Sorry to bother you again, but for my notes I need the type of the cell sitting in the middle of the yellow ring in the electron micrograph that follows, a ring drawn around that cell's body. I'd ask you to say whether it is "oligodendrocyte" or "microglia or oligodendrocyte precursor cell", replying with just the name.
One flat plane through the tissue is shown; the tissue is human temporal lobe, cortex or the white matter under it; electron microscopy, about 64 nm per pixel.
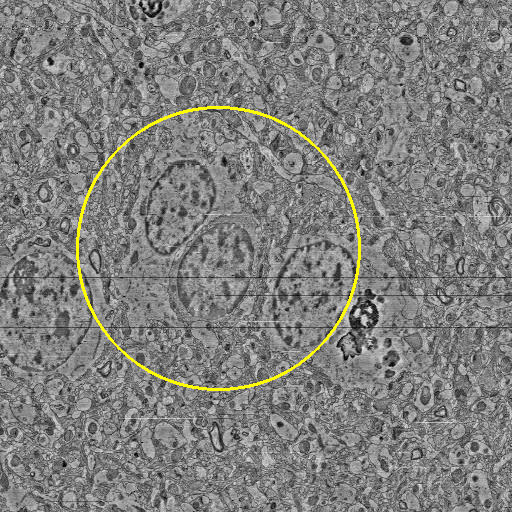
oligodendrocyte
